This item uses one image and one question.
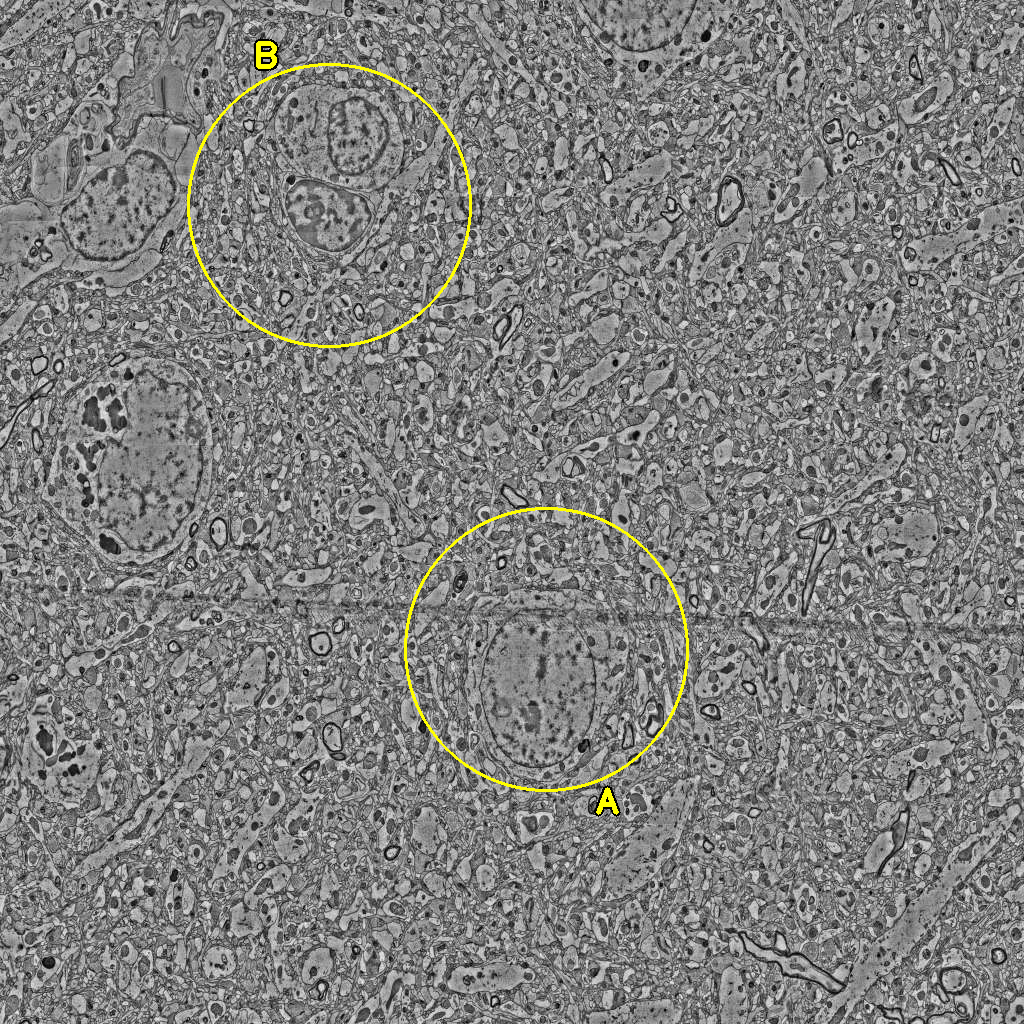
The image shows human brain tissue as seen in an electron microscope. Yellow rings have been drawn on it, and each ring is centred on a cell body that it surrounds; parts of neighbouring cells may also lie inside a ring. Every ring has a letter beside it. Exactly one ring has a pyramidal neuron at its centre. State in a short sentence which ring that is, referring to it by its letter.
Ring A has that cell at its centre.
